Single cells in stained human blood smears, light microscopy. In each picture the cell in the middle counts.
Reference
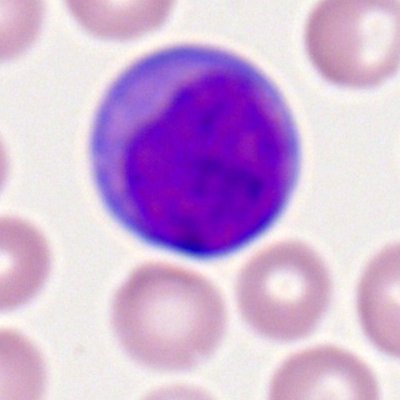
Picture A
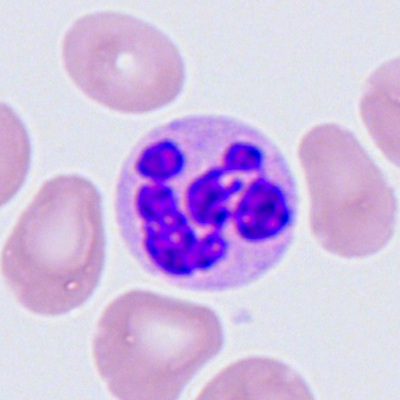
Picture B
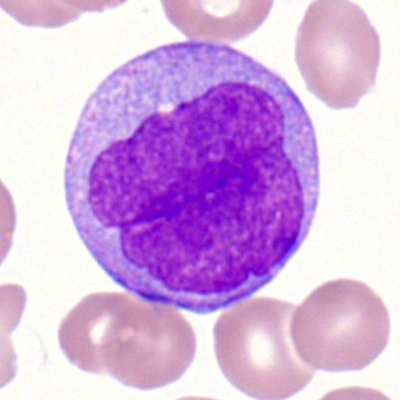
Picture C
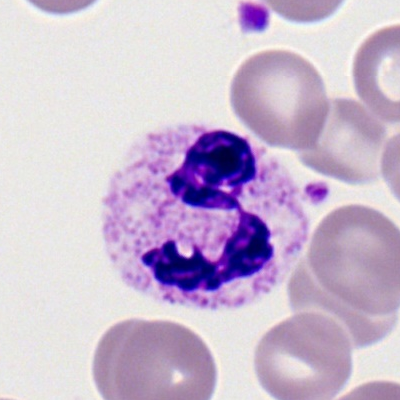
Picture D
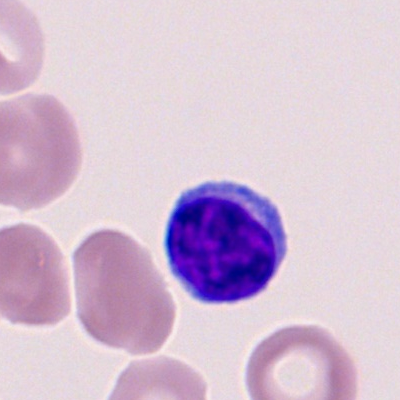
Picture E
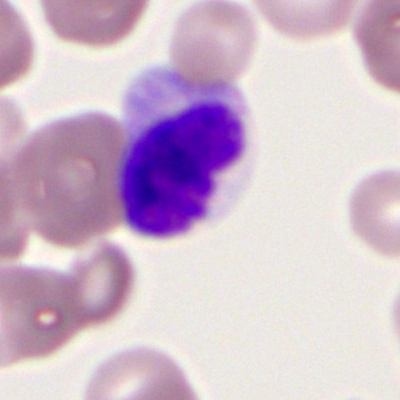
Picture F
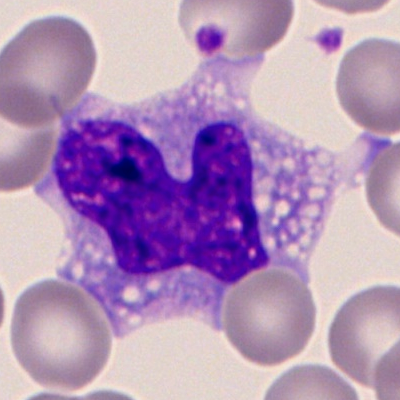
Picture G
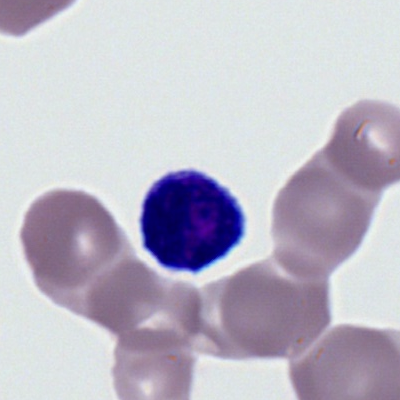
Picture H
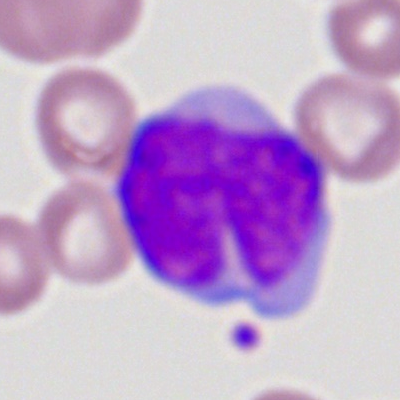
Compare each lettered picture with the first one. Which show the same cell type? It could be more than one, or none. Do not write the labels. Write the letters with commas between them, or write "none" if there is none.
B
